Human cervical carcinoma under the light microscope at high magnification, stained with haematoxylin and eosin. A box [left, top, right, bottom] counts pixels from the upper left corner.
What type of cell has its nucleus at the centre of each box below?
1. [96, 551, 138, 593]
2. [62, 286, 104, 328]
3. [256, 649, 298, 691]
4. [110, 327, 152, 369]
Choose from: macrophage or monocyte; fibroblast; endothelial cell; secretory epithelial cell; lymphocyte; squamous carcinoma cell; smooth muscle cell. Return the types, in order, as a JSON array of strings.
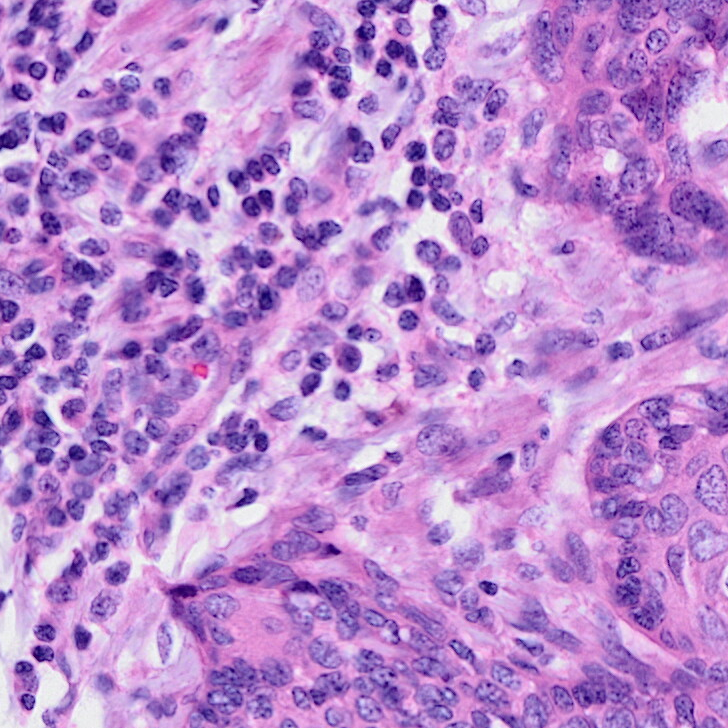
["lymphocyte", "lymphocyte", "squamous carcinoma cell", "lymphocyte"]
